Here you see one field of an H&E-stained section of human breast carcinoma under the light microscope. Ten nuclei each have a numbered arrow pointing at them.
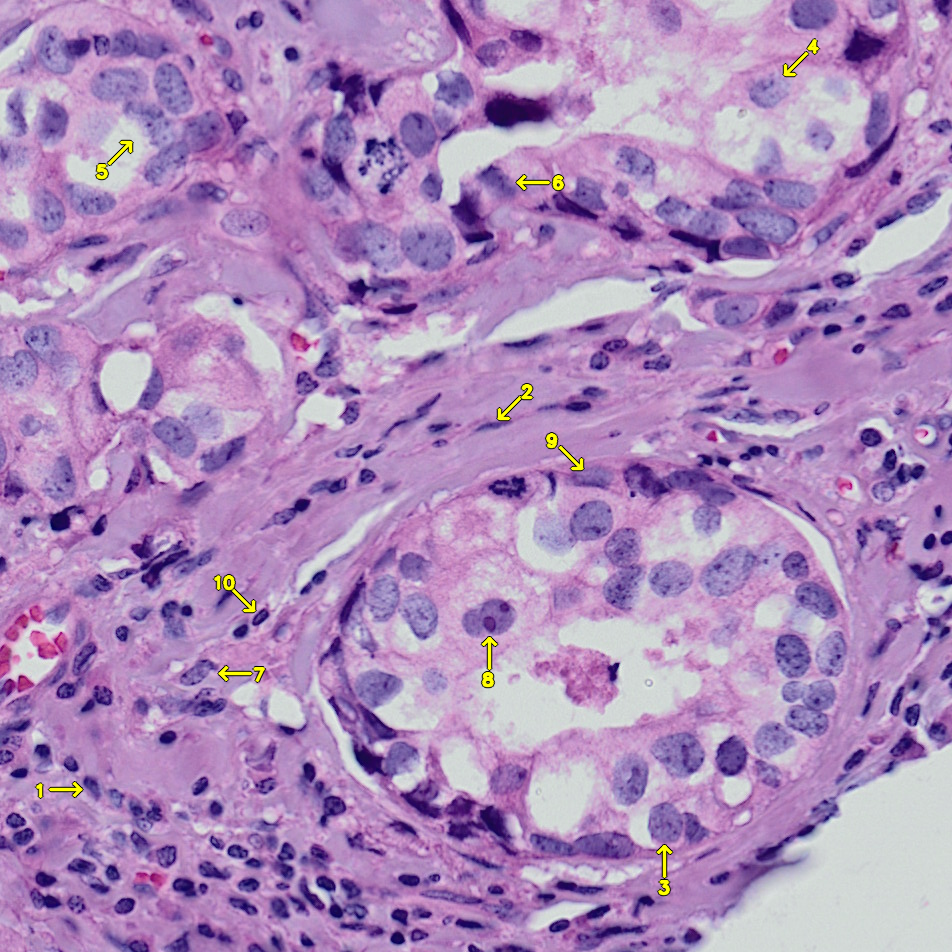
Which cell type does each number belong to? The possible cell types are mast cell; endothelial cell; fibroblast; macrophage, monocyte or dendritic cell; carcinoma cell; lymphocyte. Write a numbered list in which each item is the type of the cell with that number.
1. lymphocyte
2. fibroblast
3. carcinoma cell
4. carcinoma cell
5. carcinoma cell
6. carcinoma cell
7. macrophage, monocyte or dendritic cell
8. carcinoma cell
9. carcinoma cell
10. lymphocyte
